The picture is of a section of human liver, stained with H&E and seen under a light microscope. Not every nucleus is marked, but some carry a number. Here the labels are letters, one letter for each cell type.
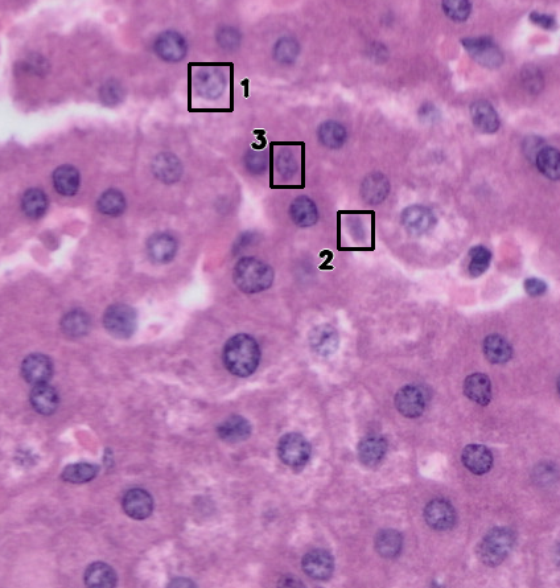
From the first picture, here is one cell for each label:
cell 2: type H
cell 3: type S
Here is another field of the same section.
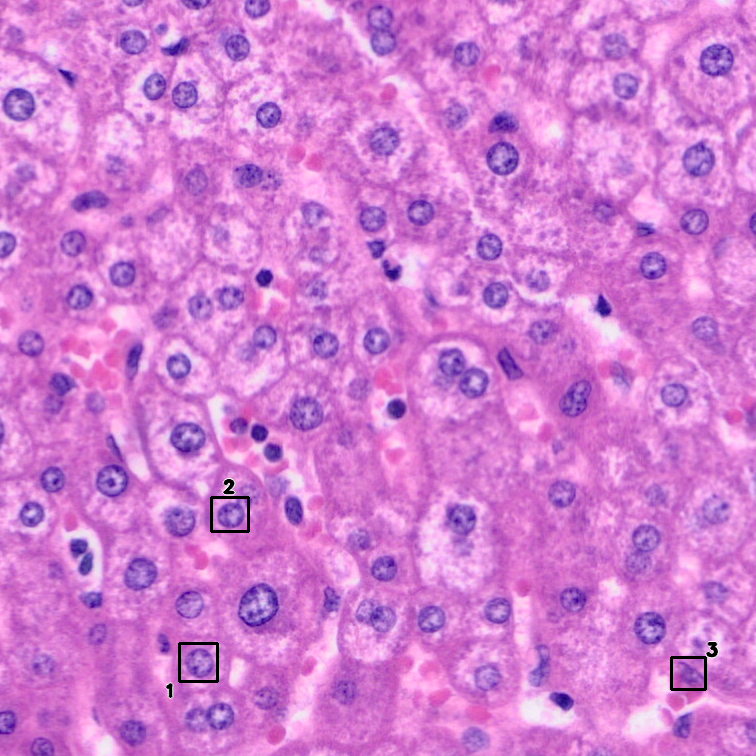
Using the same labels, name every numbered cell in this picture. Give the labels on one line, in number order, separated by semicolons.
type S; type S; type H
